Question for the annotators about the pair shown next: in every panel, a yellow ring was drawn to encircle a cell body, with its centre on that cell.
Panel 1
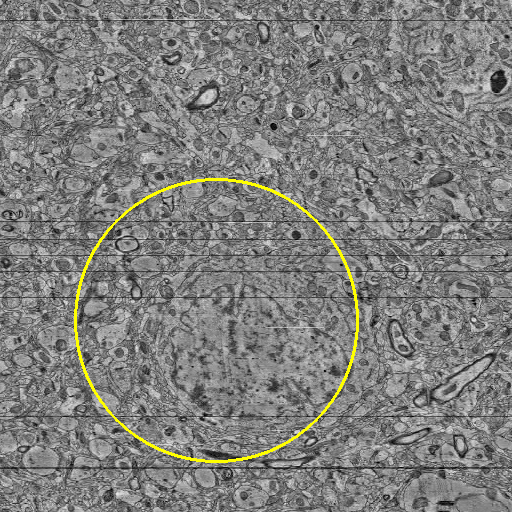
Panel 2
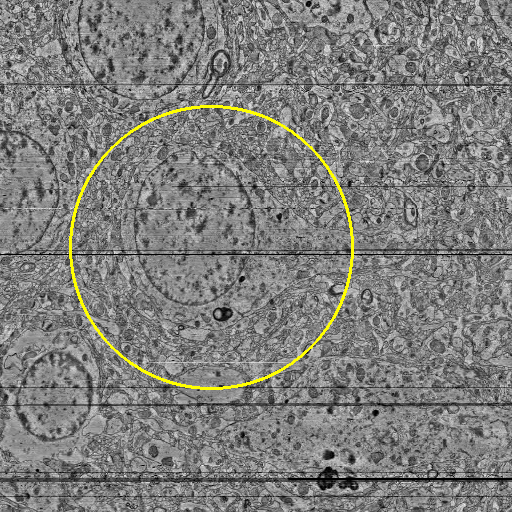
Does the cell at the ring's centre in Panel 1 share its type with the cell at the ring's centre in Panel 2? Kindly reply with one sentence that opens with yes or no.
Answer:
No, in Panels 1 and 2 the cells at the ring centres belong to separate types.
